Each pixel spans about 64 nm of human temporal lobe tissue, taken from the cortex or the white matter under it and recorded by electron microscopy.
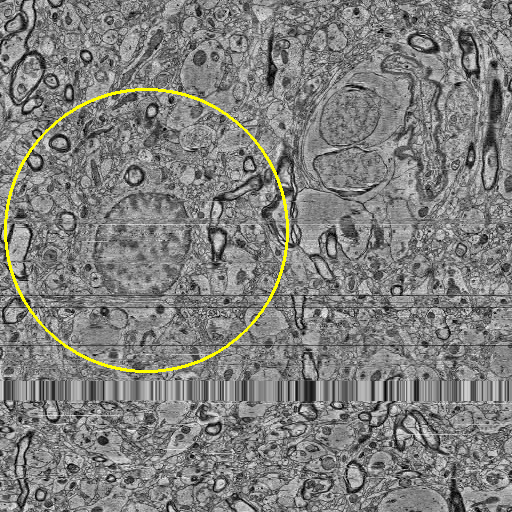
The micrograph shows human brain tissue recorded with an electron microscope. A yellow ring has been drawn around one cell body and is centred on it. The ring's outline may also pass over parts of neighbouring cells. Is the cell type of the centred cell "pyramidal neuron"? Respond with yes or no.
no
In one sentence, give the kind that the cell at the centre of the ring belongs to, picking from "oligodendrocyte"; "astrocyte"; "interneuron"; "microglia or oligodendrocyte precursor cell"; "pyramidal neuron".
So the cell at the centre is an oligodendrocyte.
